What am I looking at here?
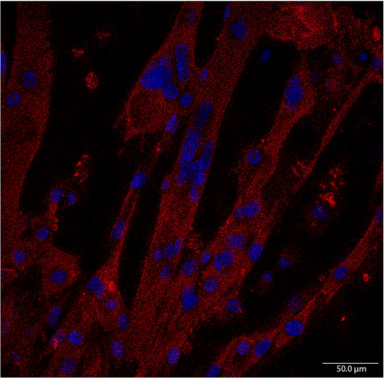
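Cultured myotubes are seen, with red-stained cytoplasm and blue nuclei. The red-stained cells are elongated and oriented mostly along one diagonal direction. Blue oval nuclei are numerous and often lie crowded in groups. Broad dark, unstained streaks lie between the red bands. Small bright red granular clumps are scattered in places within the cytoplasm.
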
